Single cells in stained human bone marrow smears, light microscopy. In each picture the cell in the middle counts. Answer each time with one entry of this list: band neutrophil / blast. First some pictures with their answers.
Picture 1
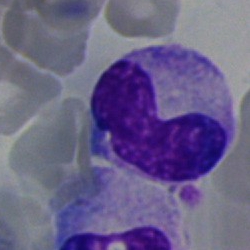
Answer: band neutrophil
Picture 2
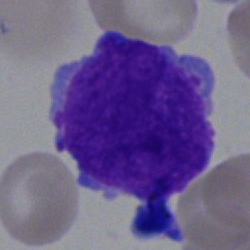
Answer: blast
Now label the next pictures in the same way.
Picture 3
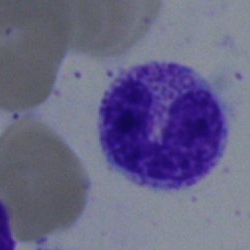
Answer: band neutrophil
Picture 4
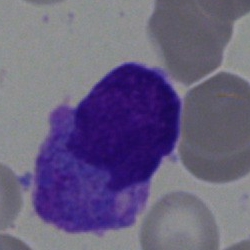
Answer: blast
